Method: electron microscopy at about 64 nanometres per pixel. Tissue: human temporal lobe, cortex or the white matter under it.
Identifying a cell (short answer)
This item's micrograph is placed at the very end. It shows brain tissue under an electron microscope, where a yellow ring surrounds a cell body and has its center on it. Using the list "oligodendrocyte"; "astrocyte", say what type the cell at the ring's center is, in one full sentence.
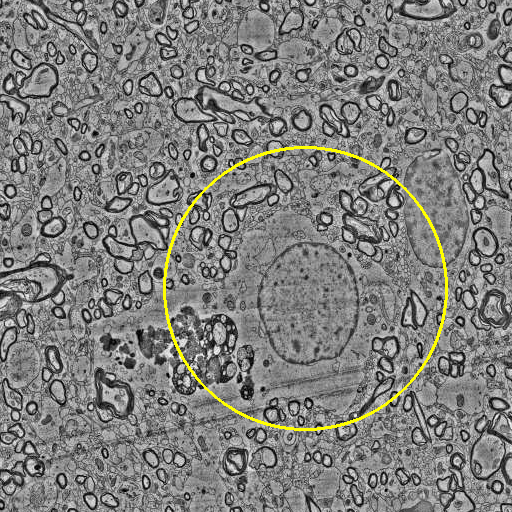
This picture shows an astrocyte at the center of the yellow ring drawn on it.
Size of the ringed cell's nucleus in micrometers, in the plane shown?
In this plane, the nucleus of the cell at the centre of the ring measures about 8 by 7 micrometres.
